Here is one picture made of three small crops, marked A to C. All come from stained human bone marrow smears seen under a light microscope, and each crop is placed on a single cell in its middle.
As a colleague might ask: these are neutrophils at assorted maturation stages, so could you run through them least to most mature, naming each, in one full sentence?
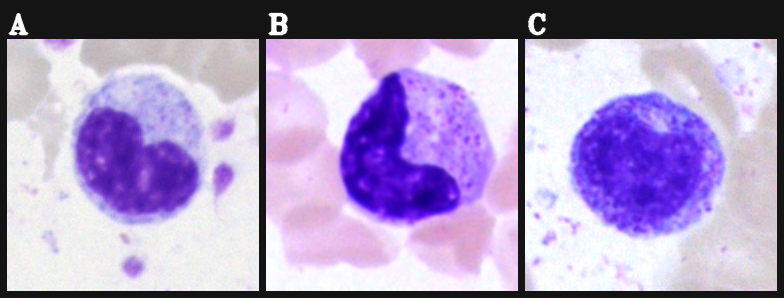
It is in the order crop C (a myelocyte), crop A (a metamyelocyte) and crop B (a band neutrophil) that maturity increases.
